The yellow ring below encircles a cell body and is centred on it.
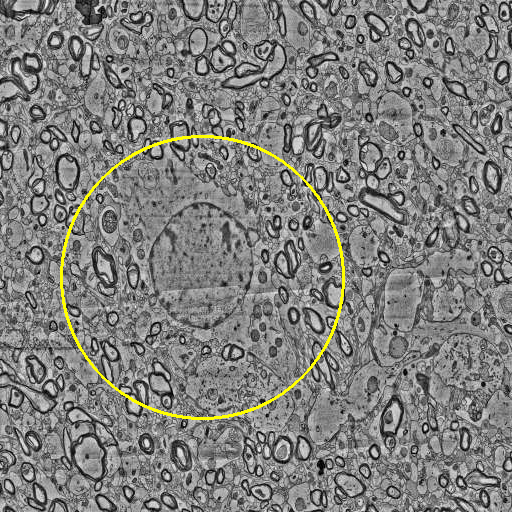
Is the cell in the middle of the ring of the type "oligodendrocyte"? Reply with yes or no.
no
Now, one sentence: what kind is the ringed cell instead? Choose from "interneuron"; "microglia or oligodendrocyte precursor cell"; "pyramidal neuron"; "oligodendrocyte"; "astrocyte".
The correct answer is that the cell is an astrocyte.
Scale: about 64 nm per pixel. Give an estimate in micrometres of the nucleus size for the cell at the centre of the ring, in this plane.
Approximately 8 by 7 micrometers in this plane.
